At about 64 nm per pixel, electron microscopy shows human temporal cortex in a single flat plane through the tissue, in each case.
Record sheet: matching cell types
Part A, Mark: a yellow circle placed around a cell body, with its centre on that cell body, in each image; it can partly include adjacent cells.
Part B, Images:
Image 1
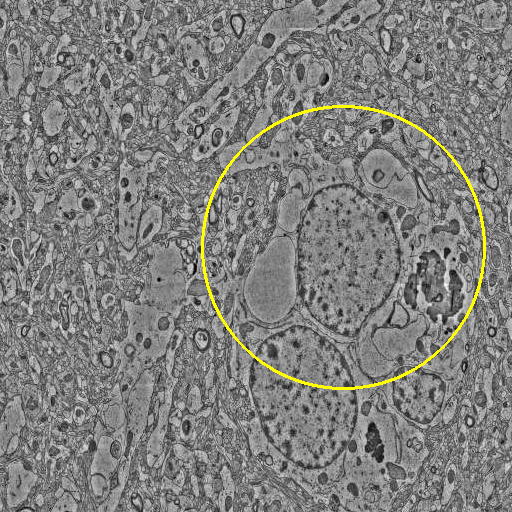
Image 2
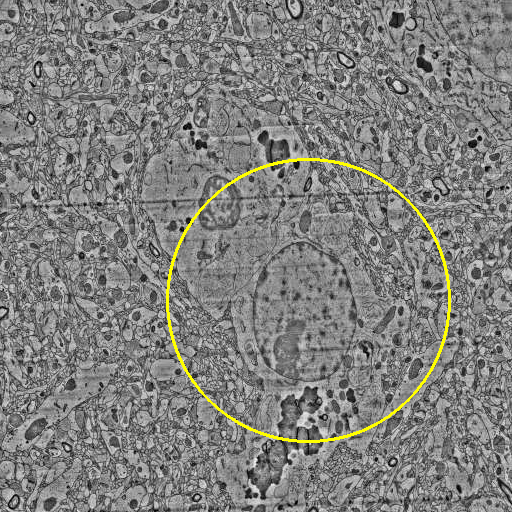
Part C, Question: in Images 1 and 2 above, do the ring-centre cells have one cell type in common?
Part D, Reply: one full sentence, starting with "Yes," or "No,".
Yes, the ring-centre cells of Image 1 and Image 2 are both of a single cell type.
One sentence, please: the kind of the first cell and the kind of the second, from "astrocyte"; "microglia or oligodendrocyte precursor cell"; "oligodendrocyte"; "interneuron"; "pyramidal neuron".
Both cells are the same kind, each one being an astrocyte.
